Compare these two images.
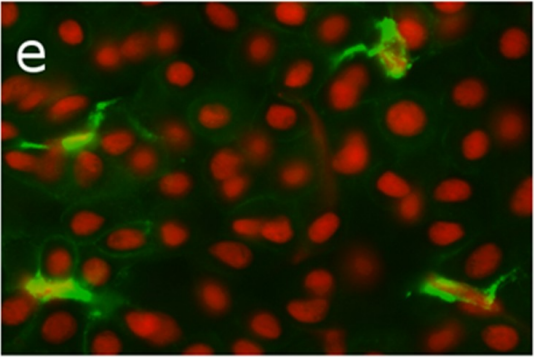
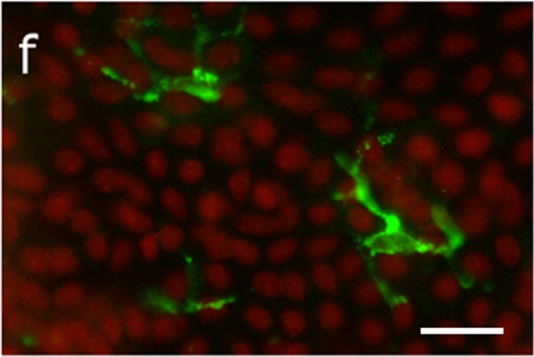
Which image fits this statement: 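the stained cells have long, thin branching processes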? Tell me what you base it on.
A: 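The second image. Second image: the green cells extend long, thin branches between neighbouring cells. First image: the green cells are compact with only short extensions.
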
